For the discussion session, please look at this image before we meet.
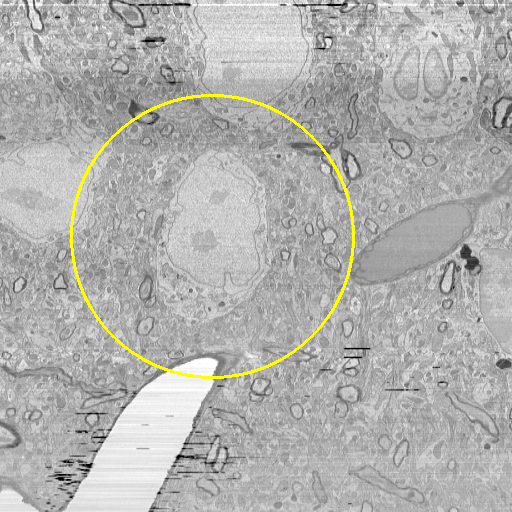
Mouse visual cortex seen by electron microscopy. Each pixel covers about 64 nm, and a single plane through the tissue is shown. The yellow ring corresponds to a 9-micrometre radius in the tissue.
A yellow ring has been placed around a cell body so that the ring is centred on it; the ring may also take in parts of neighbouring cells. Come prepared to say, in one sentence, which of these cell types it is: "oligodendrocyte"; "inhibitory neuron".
The cell centred in the ring is an inhibitory neuron.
